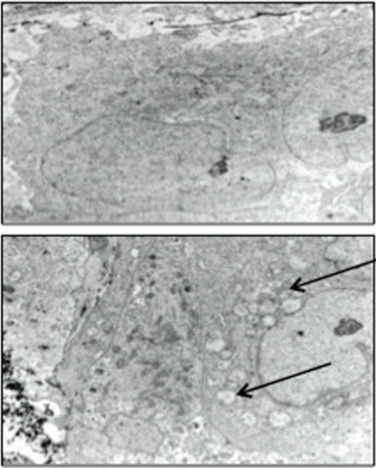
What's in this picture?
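The upper image shows large, rounded nuclei with a few dense clumps inside, and an even, finely grained cytoplasm. In the lower image, many rounded, pale, swollen profiles are scattered through the cytoplasm beside the nucleus.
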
